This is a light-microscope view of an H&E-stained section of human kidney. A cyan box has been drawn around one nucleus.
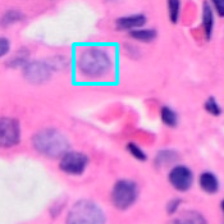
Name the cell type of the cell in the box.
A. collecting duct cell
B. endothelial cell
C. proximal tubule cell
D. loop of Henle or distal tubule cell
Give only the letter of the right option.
A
